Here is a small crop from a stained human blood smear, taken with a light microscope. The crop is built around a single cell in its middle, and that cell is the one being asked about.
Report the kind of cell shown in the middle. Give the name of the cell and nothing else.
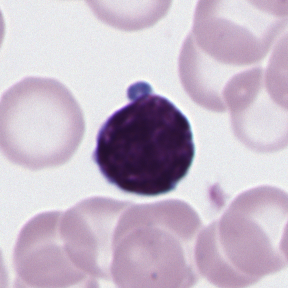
typical lymphocyte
